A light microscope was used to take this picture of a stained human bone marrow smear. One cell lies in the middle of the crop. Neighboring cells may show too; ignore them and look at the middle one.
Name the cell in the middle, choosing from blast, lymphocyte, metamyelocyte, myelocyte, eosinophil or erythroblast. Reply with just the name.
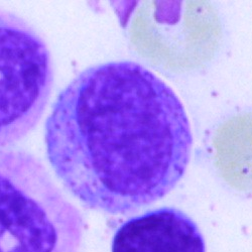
myelocyte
